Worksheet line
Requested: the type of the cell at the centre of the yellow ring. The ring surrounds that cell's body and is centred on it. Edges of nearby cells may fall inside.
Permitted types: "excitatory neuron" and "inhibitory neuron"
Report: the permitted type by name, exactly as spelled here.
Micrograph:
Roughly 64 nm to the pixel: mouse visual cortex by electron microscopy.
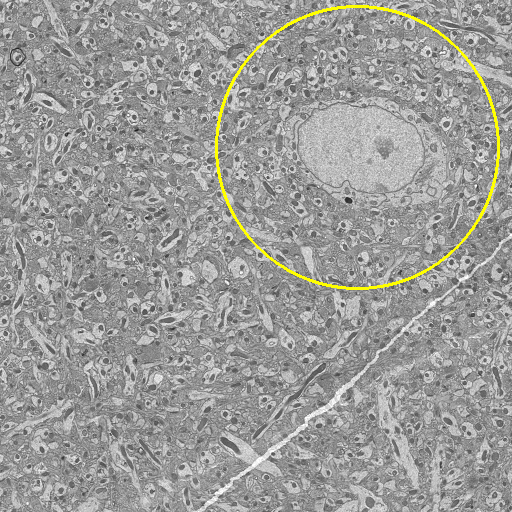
inhibitory neuron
